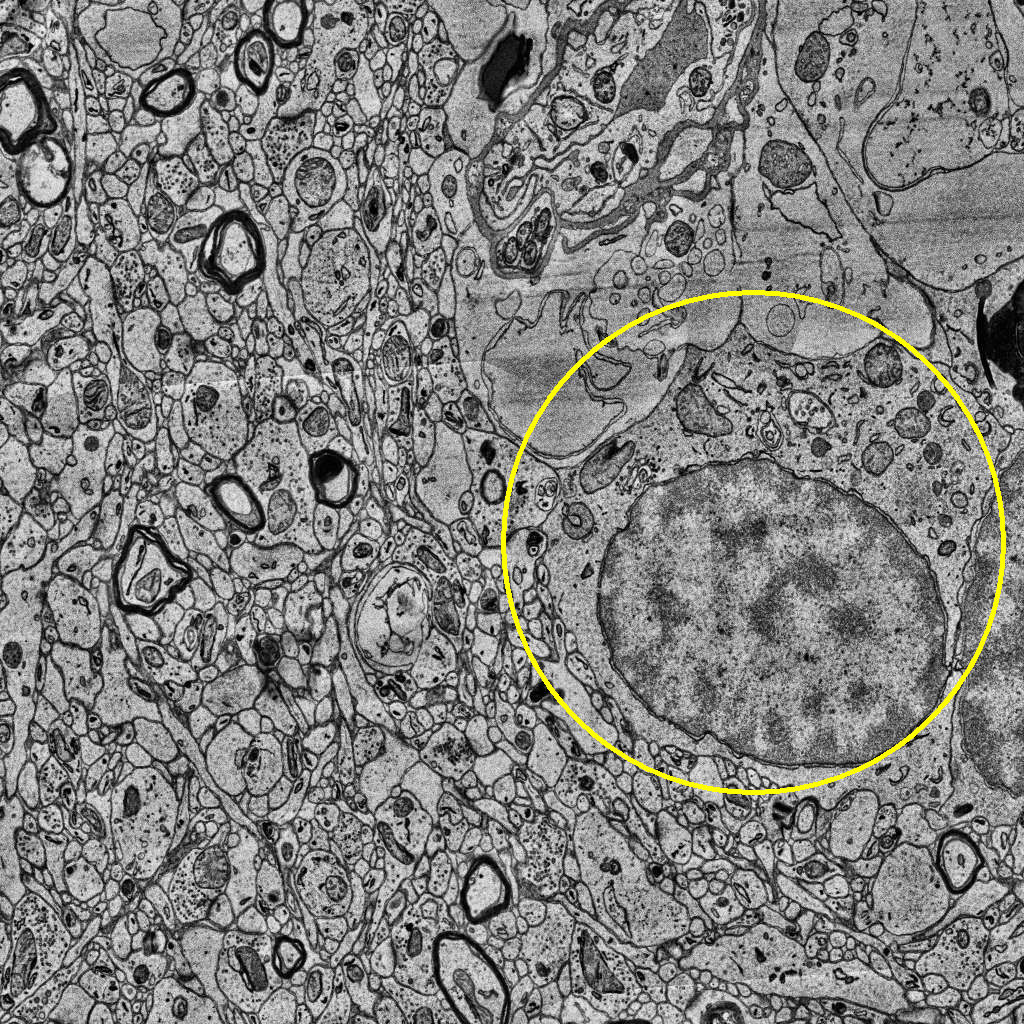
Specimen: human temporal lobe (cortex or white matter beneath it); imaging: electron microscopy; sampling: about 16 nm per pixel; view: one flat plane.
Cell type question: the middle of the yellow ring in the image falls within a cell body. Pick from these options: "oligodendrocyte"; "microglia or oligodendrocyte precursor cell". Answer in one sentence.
The cell body at the center of the ring belongs to an oligodendrocyte.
